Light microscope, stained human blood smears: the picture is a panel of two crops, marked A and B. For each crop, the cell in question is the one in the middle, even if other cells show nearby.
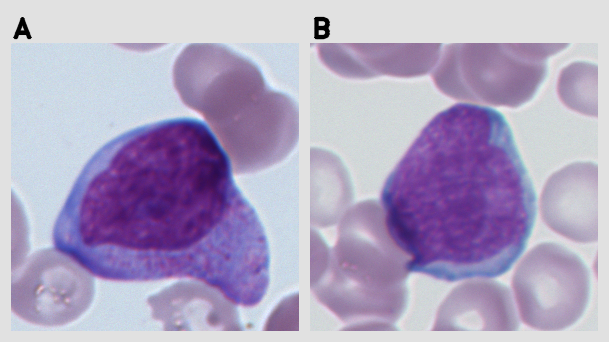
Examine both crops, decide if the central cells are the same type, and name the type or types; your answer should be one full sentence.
No, crop A presents an atypical promyelocyte, whereas crop B presents a myeloblast.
